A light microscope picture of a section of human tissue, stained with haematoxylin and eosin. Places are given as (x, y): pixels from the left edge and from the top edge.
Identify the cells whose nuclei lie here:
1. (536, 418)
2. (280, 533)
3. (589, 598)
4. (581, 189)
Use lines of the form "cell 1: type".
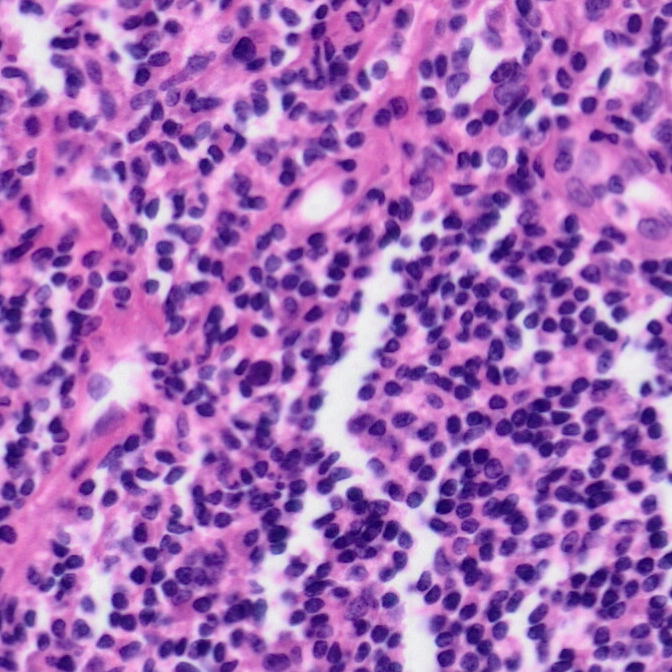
cell 1: small lymphocyte
cell 2: small lymphocyte
cell 3: small lymphocyte
cell 4: endothelial cell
